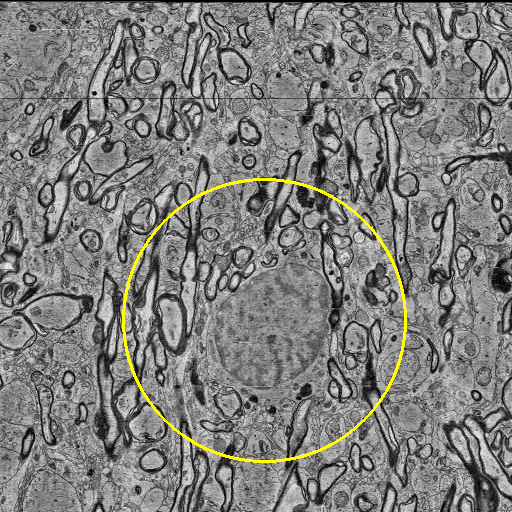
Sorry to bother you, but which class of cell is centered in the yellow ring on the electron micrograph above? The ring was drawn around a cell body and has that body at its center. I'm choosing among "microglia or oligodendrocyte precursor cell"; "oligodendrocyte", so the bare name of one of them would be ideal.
oligodendrocyte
